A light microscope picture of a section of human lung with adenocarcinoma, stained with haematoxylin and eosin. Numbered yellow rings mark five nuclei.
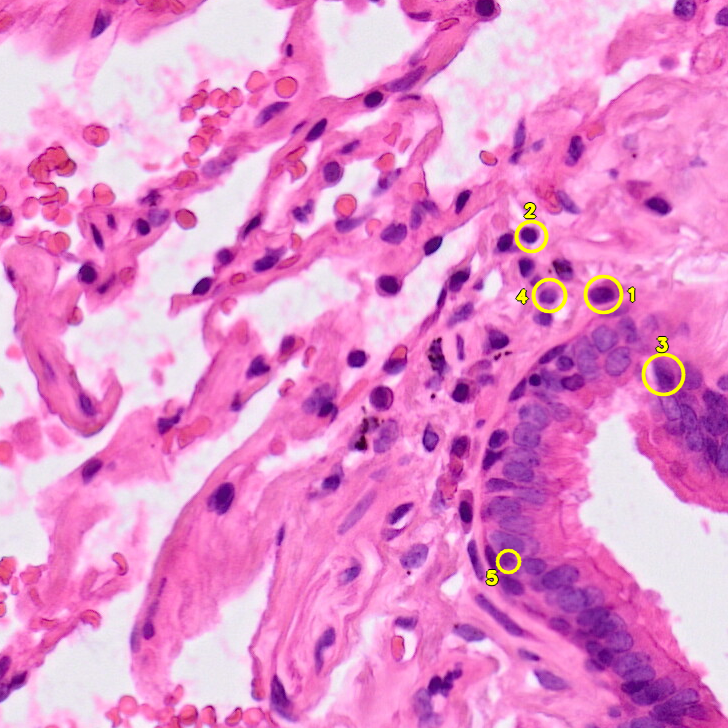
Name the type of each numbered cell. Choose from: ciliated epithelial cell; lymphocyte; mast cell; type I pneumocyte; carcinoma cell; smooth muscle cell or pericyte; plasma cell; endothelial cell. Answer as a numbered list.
1. plasma cell
2. lymphocyte
3. ciliated epithelial cell
4. lymphocyte
5. ciliated epithelial cell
